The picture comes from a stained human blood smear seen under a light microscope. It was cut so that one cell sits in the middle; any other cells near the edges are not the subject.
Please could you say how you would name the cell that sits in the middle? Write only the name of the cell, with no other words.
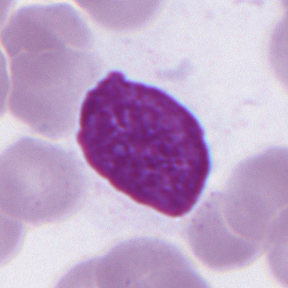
smudge cell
